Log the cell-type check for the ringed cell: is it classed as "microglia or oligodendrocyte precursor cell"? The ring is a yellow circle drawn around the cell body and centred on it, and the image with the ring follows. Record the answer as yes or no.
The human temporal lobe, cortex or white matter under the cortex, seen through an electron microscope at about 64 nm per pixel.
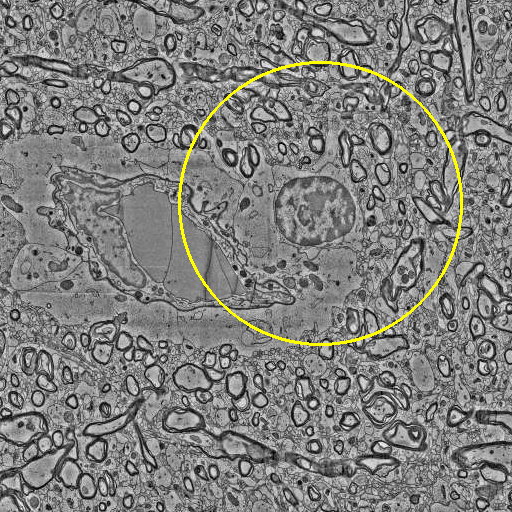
Yes, it is classed that way.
